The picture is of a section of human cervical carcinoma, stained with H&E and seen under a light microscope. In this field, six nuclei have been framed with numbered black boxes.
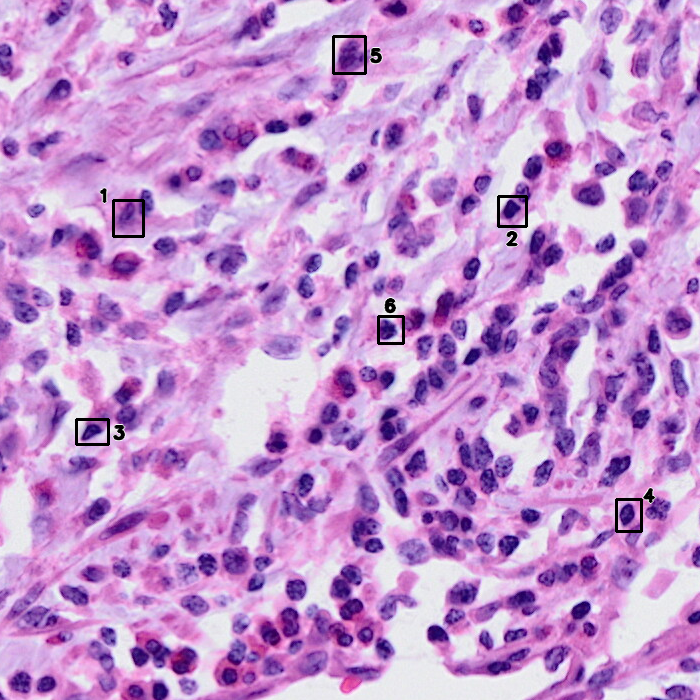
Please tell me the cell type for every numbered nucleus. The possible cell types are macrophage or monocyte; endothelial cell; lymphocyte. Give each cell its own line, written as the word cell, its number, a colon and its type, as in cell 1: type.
cell 1: macrophage or monocyte
cell 2: lymphocyte
cell 3: lymphocyte
cell 4: lymphocyte
cell 5: macrophage or monocyte
cell 6: lymphocyte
